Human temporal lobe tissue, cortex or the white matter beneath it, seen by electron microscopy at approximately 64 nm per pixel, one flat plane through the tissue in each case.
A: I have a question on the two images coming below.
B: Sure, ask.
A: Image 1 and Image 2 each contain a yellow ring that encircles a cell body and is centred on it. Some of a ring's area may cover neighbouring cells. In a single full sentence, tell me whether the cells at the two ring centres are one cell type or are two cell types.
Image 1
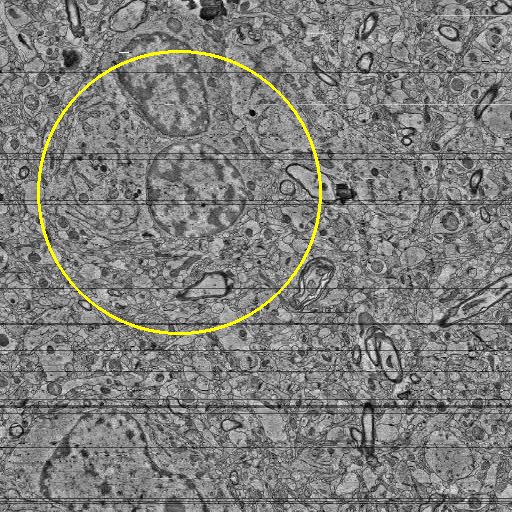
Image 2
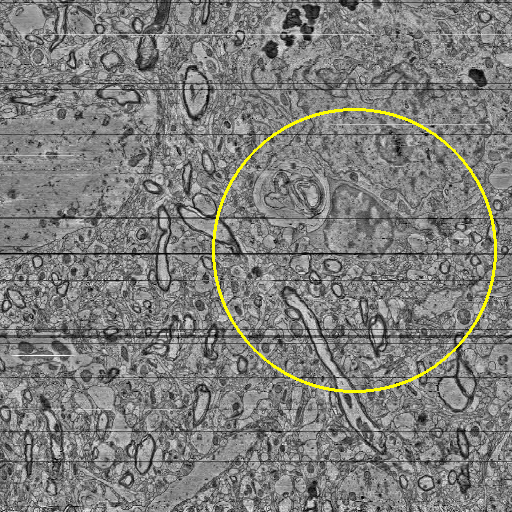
As for the ring-centre cells, the one in Image 1 and the one in Image 2 are one cell type.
